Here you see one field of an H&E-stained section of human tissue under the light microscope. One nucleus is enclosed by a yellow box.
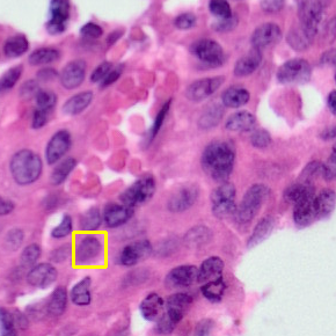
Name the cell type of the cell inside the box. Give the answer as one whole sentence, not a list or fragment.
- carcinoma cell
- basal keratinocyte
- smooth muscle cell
Within the stained tissue, the cell inside the box is a carcinoma cell.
